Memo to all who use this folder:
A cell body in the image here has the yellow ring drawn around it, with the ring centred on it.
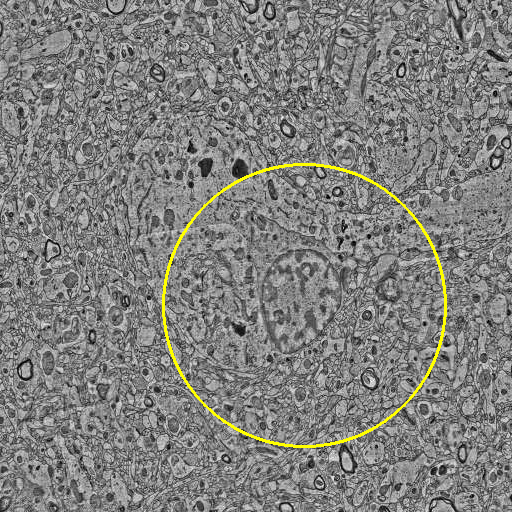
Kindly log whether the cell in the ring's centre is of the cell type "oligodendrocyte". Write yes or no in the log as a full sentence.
Yes, logged: the ring in this image is centred on a cell of that type.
